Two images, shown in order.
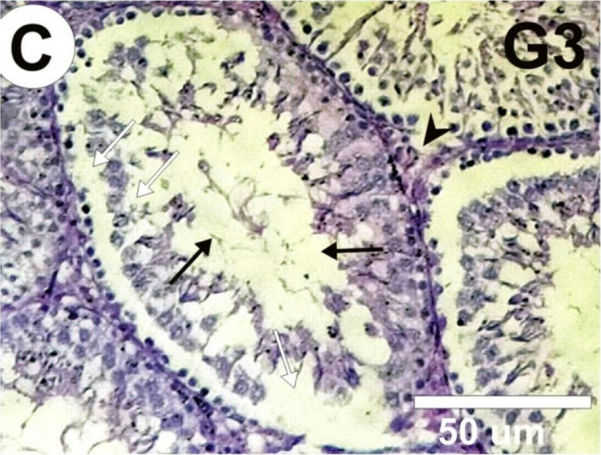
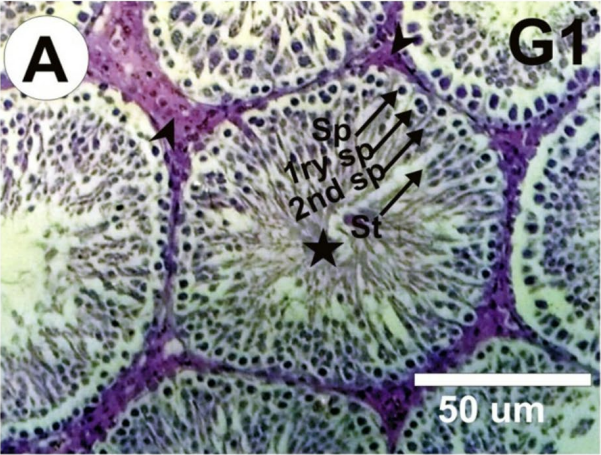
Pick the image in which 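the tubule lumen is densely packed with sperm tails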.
The second image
